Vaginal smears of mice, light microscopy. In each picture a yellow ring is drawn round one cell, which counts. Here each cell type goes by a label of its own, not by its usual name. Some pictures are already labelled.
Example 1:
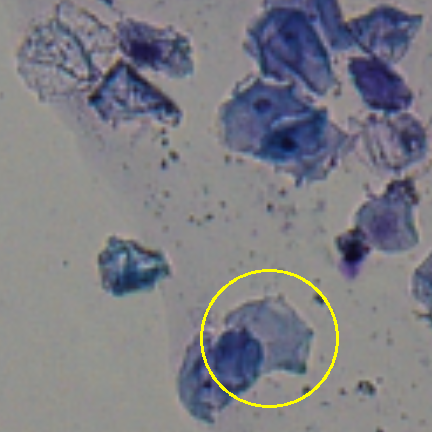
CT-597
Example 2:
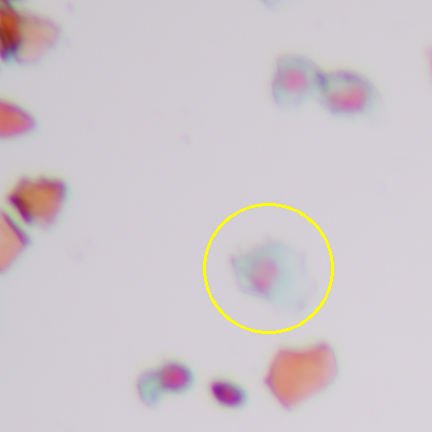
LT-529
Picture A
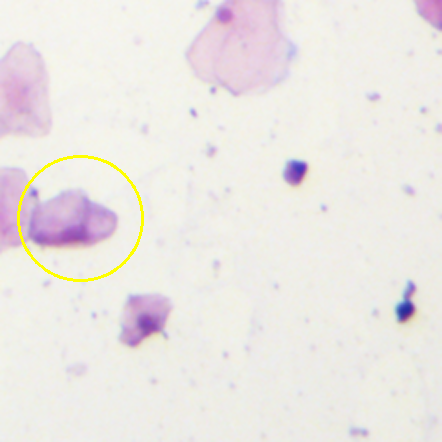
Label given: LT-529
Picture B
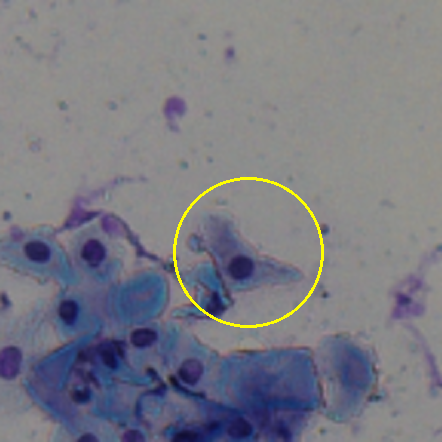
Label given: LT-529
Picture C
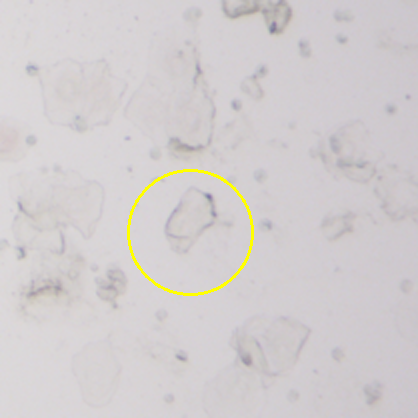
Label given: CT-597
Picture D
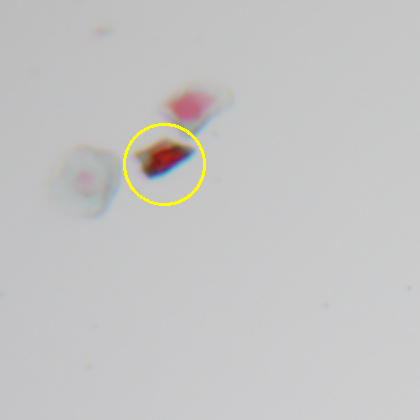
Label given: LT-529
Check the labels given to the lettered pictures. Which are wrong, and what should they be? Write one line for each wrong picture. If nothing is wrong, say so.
A: not LT-529 but CT-597
D: not LT-529 but CT-597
